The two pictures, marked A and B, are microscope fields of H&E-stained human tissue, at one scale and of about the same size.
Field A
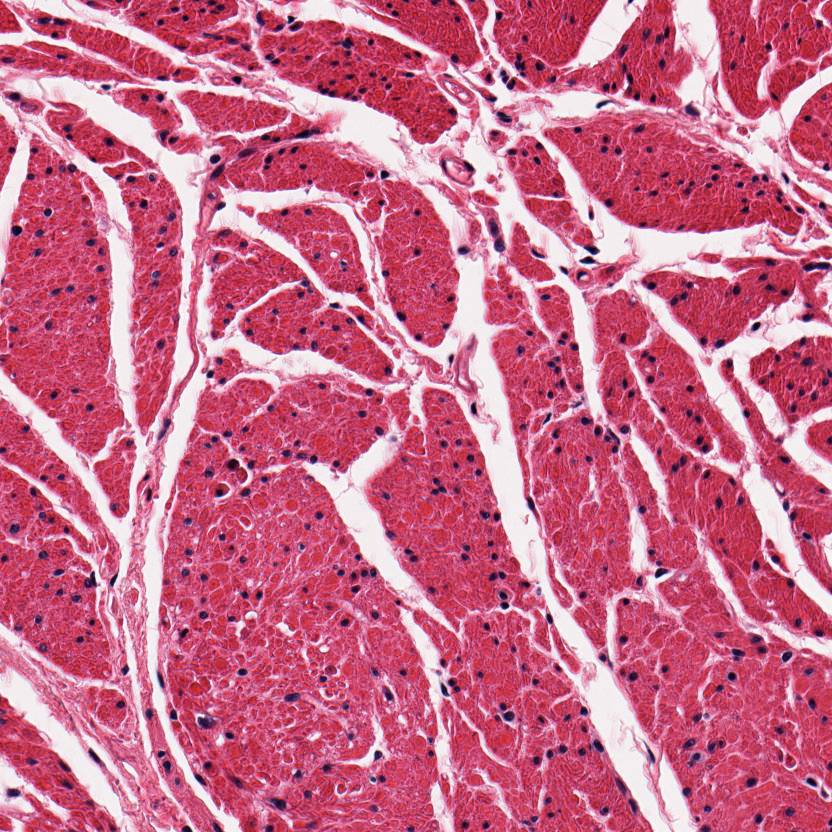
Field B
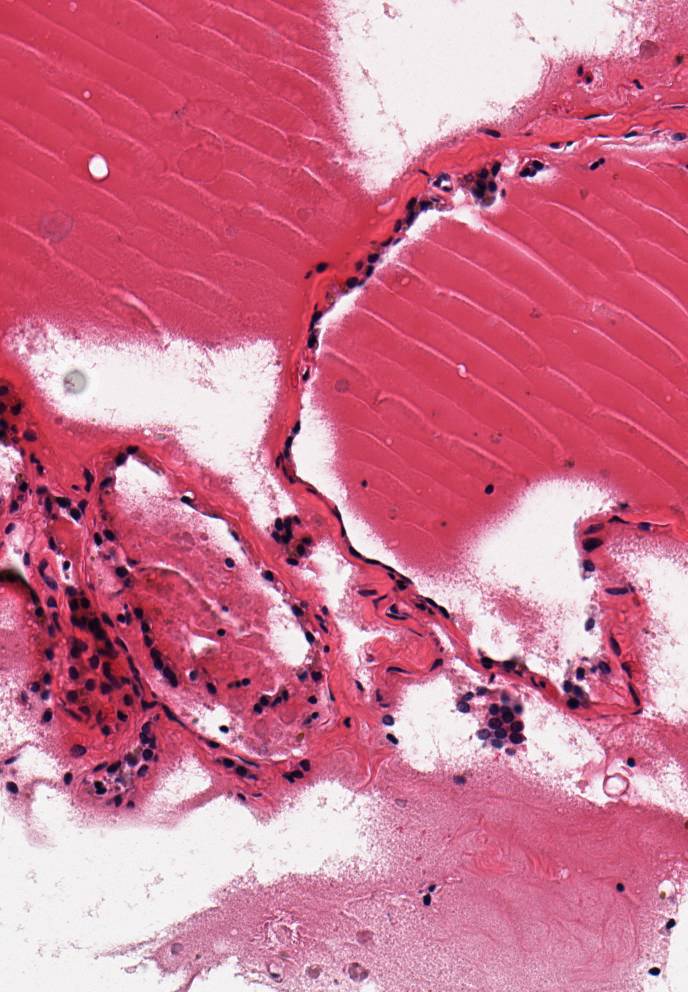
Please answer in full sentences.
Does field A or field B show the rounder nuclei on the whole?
The nuclei are rounder in field A.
